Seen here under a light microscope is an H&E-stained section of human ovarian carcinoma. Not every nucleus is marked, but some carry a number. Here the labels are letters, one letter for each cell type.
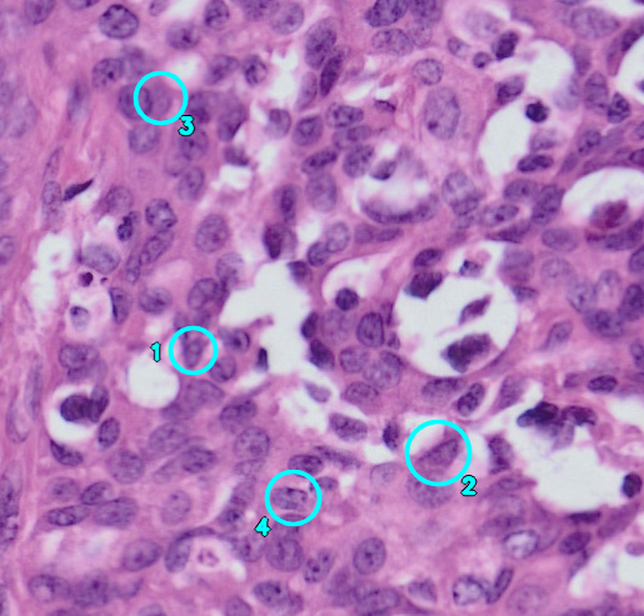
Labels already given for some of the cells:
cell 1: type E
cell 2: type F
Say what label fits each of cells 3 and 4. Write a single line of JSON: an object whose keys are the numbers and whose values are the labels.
{"3": "type F", "4": "type E"}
